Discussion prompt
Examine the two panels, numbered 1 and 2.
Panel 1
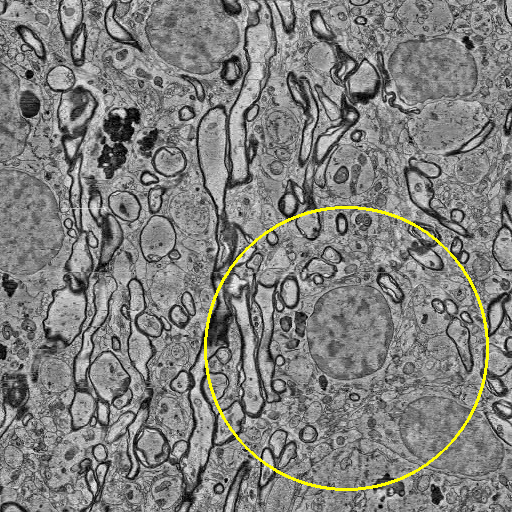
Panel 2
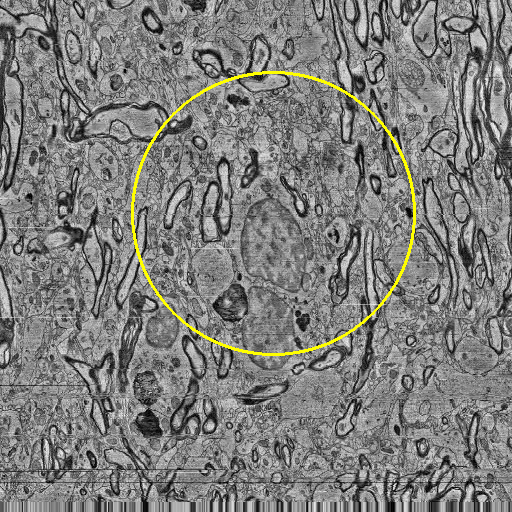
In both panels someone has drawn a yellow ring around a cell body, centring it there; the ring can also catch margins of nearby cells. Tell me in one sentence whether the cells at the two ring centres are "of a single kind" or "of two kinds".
Taken together, the two cells centred in the rings of Panels 1 and 2 are of two kinds.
